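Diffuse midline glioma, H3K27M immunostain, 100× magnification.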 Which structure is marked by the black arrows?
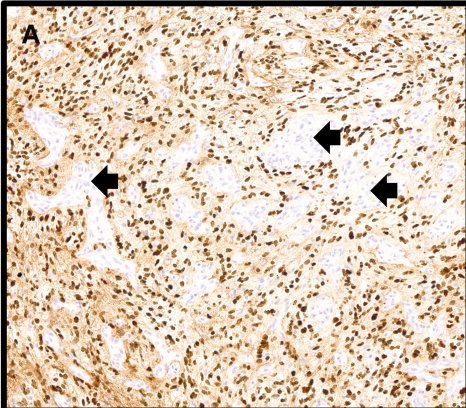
vessels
